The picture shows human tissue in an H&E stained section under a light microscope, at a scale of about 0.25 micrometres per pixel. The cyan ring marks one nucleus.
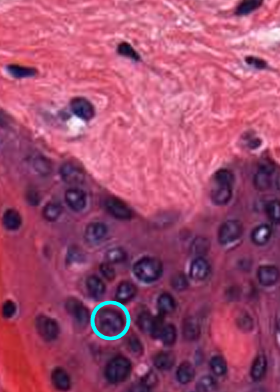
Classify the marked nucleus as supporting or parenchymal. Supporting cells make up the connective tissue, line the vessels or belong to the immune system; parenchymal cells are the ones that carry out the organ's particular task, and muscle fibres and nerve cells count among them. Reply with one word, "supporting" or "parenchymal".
parenchymal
